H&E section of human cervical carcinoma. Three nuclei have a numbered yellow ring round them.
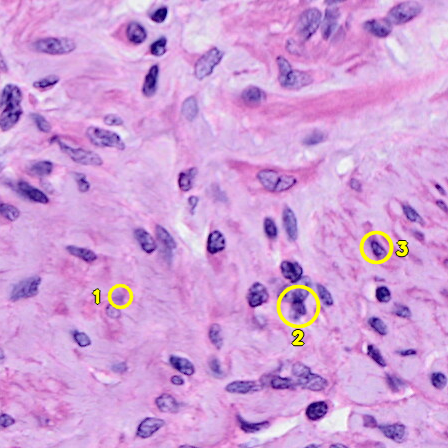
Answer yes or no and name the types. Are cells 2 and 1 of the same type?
No, that's off: cell 2 is a lymphocyte and cell 1 is a smooth muscle cell.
